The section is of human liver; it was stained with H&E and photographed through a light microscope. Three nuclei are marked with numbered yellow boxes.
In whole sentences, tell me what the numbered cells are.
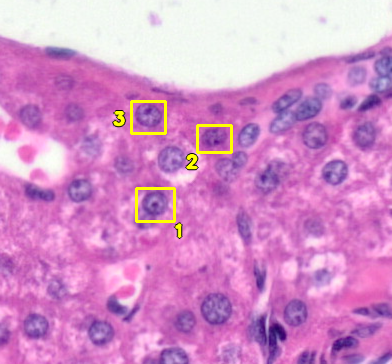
Cells 1 and 3 are hepatocytes. Cell 2 is a cholangiocyte.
